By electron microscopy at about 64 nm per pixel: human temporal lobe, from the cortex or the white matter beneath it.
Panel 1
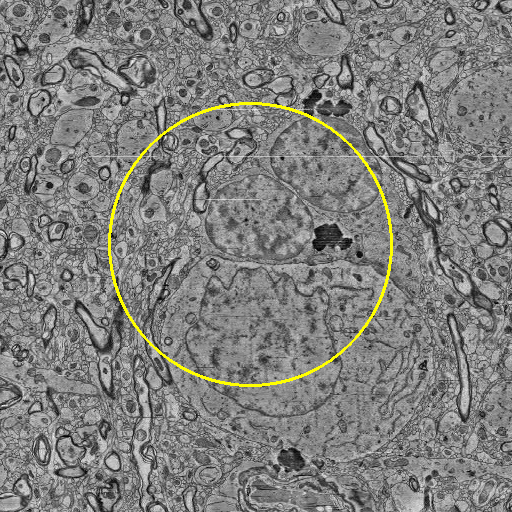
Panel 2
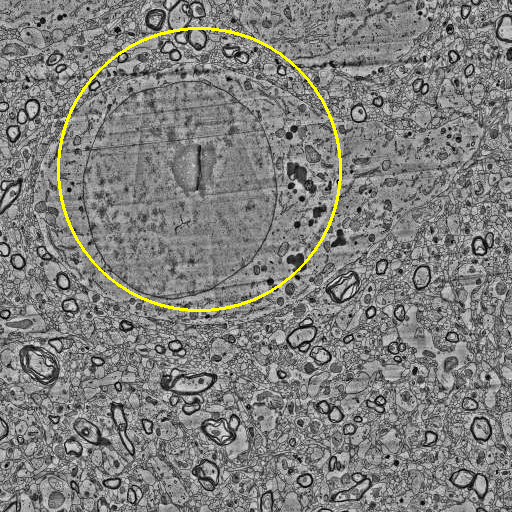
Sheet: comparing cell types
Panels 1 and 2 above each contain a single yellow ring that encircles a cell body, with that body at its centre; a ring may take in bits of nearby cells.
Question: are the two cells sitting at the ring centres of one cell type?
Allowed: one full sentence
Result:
No, the ring-centre cells in Panel 1 and Panel 2 are of two types.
